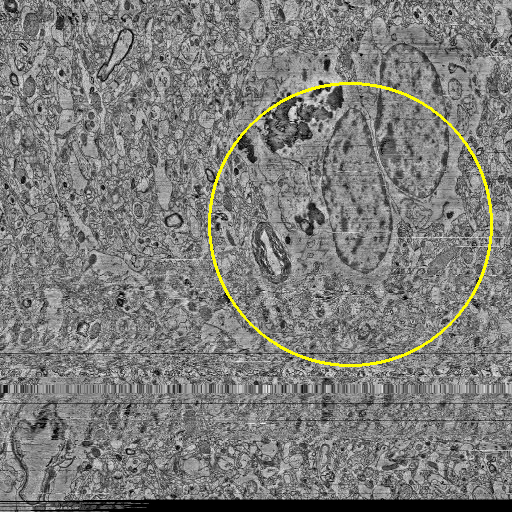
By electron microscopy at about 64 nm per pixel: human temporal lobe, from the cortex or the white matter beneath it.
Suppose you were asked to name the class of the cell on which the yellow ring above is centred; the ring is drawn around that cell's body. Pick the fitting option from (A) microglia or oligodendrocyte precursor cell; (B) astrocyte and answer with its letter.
B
